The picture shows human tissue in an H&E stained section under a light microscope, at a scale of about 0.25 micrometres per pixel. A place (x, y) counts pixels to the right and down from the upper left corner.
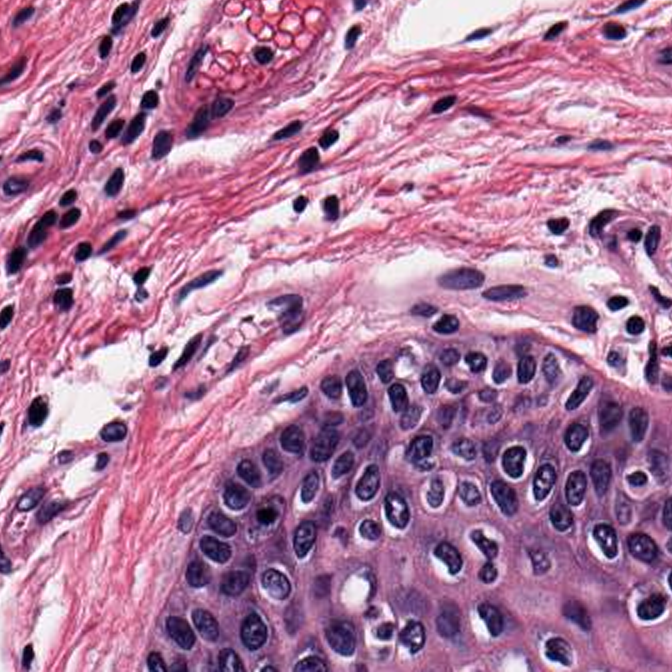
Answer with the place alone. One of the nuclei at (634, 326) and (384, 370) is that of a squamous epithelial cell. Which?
(384, 370)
